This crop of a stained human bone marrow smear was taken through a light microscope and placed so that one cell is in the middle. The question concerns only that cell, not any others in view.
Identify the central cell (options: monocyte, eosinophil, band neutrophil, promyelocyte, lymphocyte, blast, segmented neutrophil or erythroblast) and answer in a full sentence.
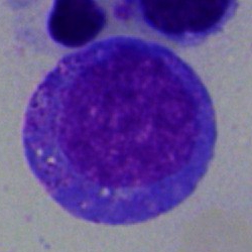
This crop has a blast at its centre.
